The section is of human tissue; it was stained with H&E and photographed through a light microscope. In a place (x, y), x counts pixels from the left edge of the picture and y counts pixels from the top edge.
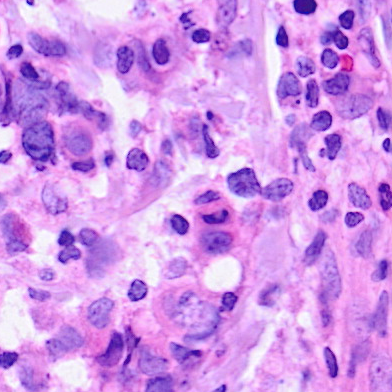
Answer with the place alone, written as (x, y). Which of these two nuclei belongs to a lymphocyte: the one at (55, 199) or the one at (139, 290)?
(139, 290)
